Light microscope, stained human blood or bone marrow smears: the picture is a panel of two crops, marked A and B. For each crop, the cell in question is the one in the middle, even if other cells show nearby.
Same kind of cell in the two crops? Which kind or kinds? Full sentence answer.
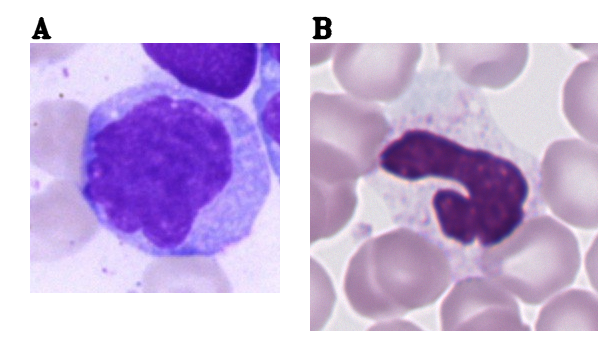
No, a segmented neutrophil is the cell in crop B, and crop A contains a monocyte.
